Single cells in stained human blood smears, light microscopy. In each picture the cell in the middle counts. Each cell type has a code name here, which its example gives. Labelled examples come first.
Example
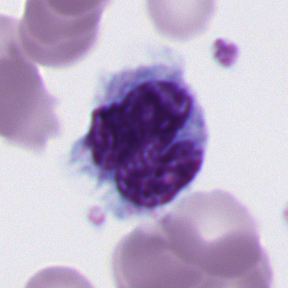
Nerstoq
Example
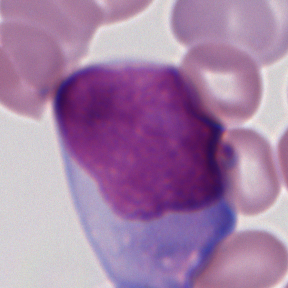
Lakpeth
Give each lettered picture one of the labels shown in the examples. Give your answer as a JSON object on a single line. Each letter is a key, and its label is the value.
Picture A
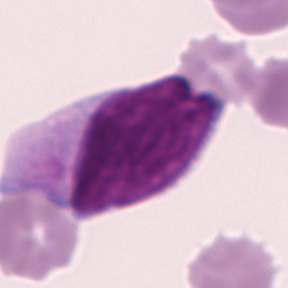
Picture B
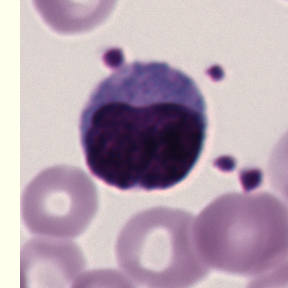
{"A": "Lakpeth", "B": "Nerstoq"}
